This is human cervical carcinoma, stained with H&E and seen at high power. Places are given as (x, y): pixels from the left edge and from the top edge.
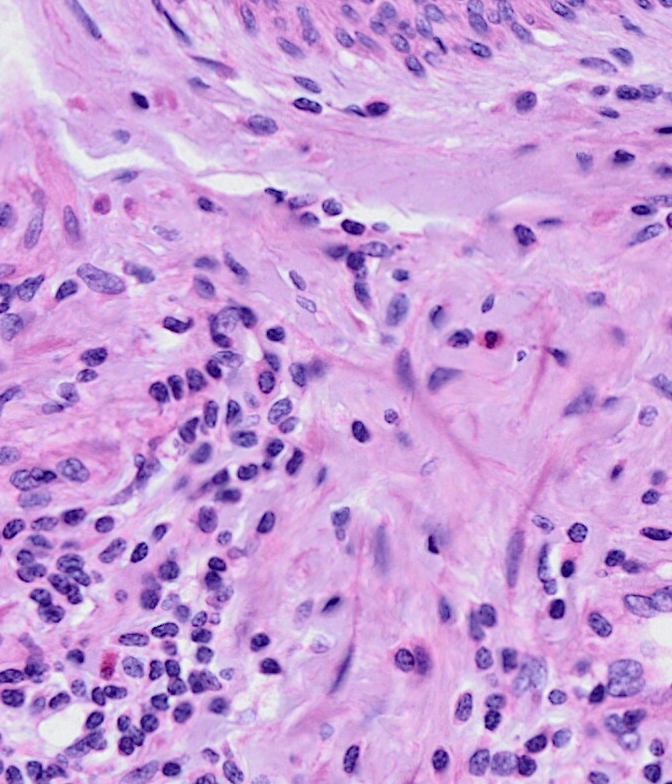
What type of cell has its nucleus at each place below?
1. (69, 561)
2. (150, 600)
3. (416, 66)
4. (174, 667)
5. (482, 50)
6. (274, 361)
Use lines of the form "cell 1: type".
cell 1: lymphocyte
cell 2: lymphocyte
cell 3: smooth muscle cell
cell 4: lymphocyte
cell 5: smooth muscle cell
cell 6: lymphocyte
